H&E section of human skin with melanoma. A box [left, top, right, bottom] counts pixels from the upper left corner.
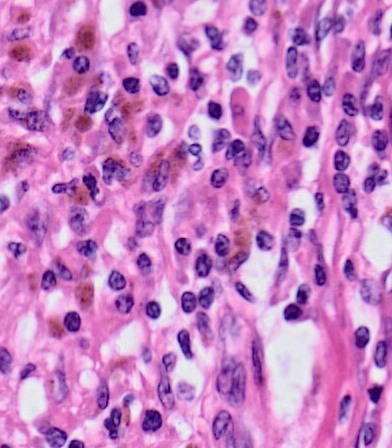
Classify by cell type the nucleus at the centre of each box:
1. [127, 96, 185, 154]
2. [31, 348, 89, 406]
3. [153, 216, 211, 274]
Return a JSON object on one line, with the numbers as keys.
{"1": "lymphocyte", "2": "fibroblast or myofibroblast", "3": "plasma cell"}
